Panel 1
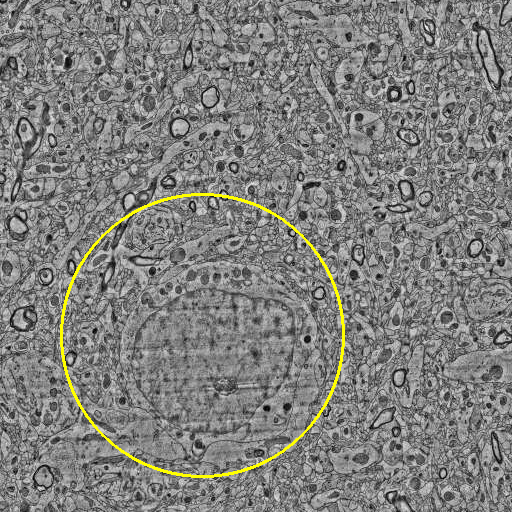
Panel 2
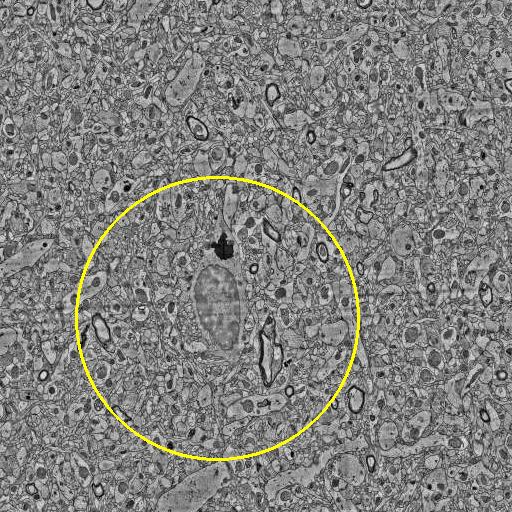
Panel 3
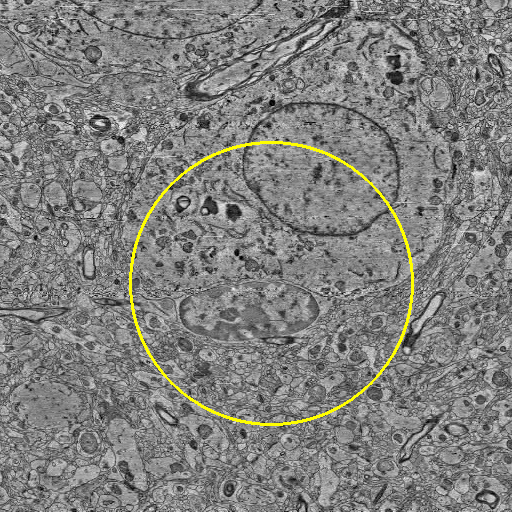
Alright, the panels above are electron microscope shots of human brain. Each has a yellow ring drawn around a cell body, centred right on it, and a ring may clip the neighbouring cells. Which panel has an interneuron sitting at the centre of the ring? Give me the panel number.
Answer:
1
